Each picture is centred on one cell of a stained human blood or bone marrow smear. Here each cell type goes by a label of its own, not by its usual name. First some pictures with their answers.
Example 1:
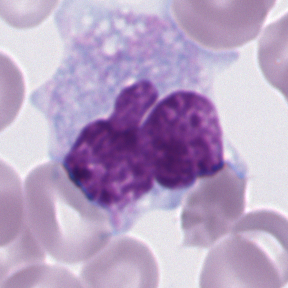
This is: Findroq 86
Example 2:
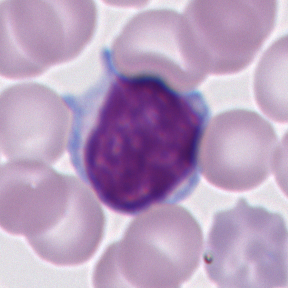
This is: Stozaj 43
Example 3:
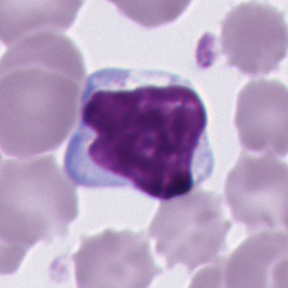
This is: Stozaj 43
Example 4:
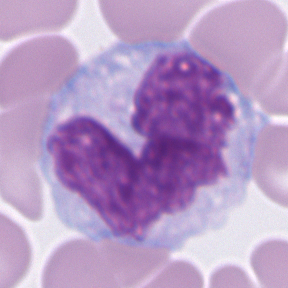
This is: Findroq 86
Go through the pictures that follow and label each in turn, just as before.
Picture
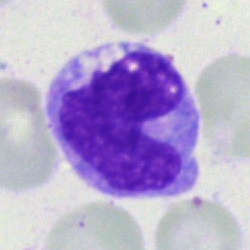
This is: Findroq 86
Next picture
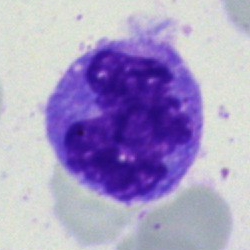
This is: Findroq 86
